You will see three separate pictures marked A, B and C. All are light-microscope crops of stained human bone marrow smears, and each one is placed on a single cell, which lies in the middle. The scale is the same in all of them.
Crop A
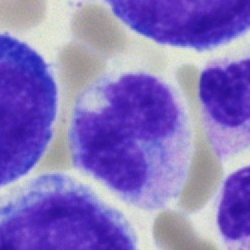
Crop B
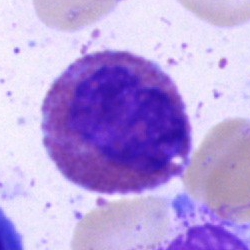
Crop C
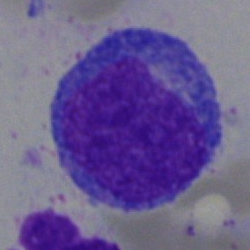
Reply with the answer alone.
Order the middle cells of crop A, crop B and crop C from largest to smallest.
C, B, A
